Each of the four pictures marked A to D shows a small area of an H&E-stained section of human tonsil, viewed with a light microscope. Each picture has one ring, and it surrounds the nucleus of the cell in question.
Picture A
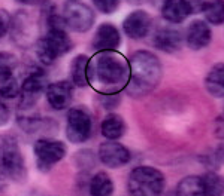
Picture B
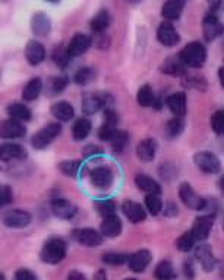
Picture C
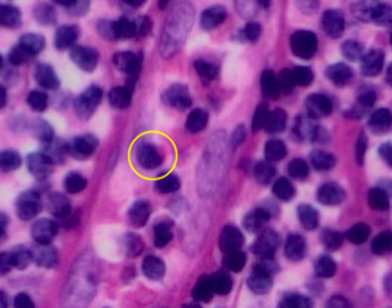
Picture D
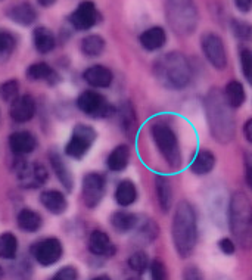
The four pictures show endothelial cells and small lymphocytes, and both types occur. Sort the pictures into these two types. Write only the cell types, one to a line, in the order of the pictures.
small lymphocyte
small lymphocyte
endothelial cell
endothelial cell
